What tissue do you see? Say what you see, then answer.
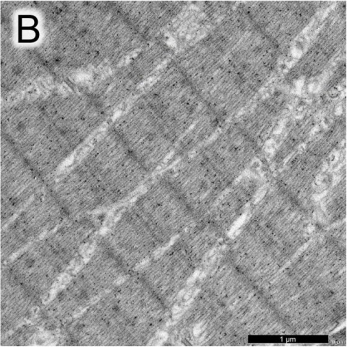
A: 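Skeletal muscle. Parallel myofibrils run diagonally across the field. Regular cross-striations with repeating dark lines mark sarcomeres.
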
